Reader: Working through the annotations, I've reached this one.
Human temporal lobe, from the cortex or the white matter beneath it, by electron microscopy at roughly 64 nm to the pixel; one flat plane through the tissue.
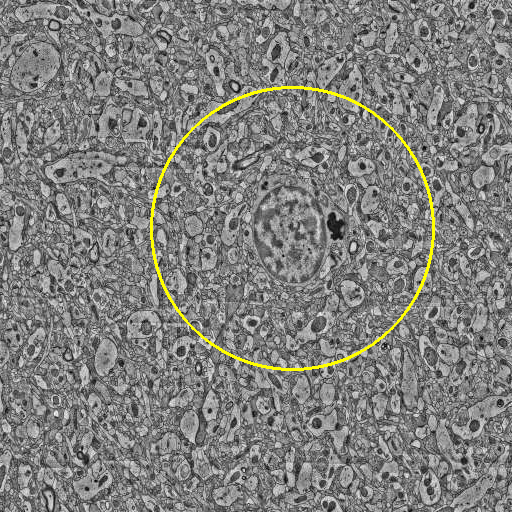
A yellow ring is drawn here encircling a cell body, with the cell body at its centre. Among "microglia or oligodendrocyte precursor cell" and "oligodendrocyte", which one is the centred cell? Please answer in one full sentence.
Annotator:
The cell body at the centre of the yellow ring in this image belongs to an oligodendrocyte.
